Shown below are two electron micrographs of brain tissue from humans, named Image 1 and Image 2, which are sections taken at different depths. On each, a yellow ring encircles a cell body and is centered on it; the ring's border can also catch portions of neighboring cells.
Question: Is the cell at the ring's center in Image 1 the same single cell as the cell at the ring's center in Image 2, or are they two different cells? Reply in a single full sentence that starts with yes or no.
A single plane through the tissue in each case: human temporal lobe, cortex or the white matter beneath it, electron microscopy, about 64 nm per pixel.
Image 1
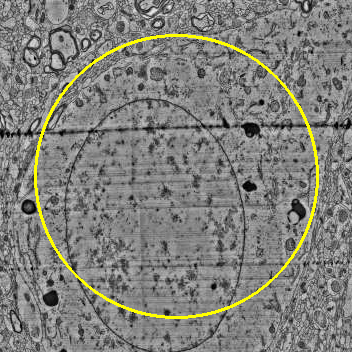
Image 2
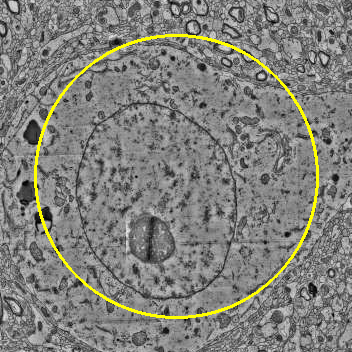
No, the two rings were placed on two different cells.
